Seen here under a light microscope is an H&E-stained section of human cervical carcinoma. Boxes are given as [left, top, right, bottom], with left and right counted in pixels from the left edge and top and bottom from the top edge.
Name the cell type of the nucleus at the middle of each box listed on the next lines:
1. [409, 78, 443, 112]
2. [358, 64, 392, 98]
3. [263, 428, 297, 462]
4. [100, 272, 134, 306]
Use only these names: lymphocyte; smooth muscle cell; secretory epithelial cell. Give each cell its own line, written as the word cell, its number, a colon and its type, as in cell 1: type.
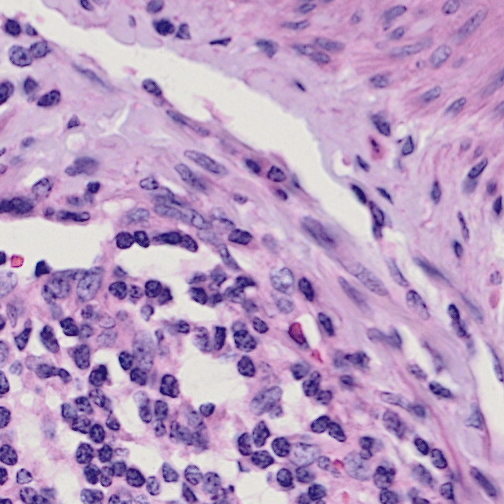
cell 1: smooth muscle cell
cell 2: smooth muscle cell
cell 3: lymphocyte
cell 4: lymphocyte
